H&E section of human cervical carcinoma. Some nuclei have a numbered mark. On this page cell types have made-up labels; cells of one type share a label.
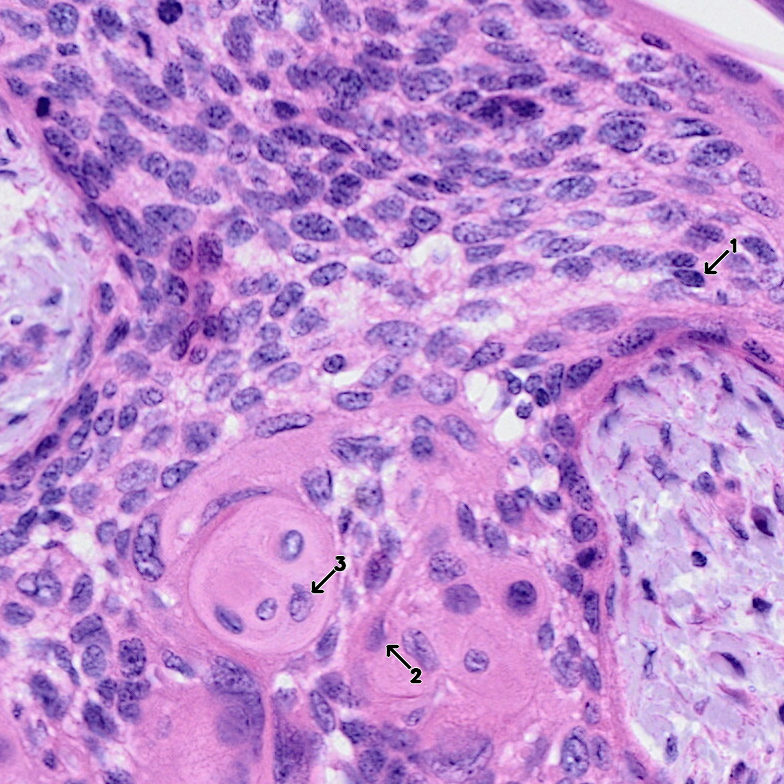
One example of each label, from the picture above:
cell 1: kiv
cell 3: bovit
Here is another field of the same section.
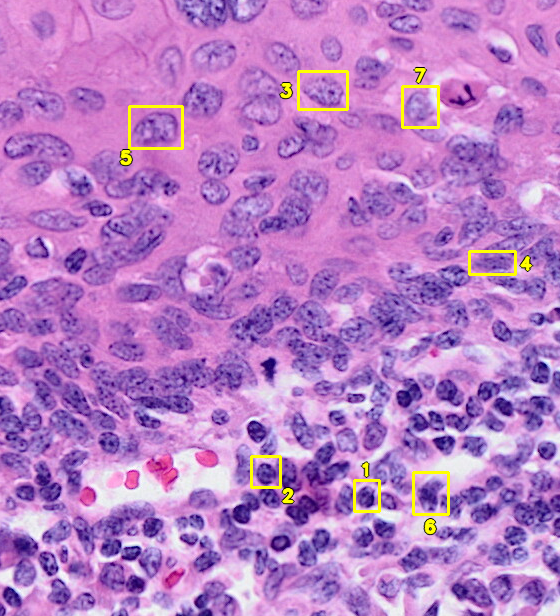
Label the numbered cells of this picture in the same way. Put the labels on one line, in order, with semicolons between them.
kiv; kiv; bovit; bovit; bovit; kiv; bovit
